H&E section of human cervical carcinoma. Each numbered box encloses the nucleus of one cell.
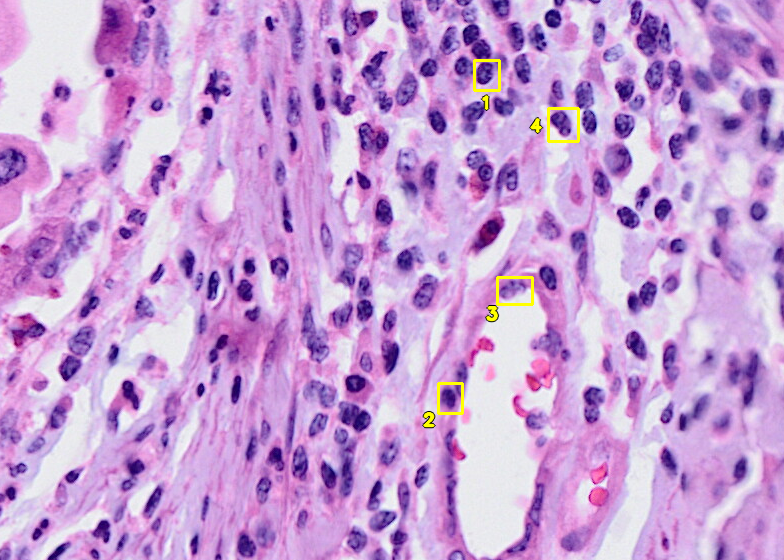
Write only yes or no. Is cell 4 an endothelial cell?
no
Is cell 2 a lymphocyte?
no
